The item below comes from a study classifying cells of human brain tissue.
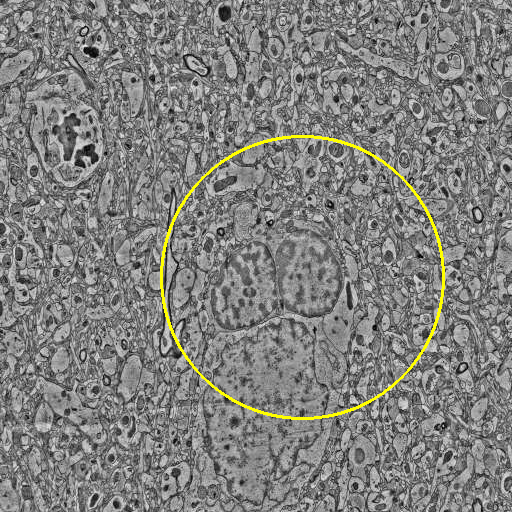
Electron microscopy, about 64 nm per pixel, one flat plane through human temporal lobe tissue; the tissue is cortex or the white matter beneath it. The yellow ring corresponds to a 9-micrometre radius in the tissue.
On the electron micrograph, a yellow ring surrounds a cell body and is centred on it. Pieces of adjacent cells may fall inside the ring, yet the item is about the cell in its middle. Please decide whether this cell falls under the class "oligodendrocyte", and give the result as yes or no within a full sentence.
Yes, the cell at the middle of the ring on the micrograph belongs in that class.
